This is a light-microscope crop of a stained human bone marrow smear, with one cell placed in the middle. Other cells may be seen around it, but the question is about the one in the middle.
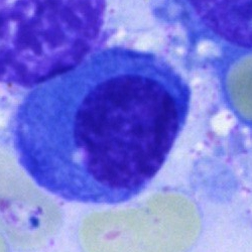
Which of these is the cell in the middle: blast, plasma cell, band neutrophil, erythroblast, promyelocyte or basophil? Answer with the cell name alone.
plasma cell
